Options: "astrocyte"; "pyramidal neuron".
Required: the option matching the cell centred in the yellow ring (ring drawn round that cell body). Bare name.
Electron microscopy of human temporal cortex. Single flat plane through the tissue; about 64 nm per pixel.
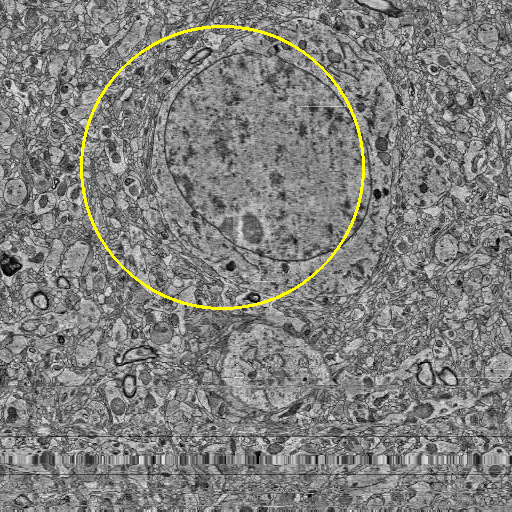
pyramidal neuron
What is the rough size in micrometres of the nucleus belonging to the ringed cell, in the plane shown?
The nucleus appears roughly 15 by 12 micrometres in this plane.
